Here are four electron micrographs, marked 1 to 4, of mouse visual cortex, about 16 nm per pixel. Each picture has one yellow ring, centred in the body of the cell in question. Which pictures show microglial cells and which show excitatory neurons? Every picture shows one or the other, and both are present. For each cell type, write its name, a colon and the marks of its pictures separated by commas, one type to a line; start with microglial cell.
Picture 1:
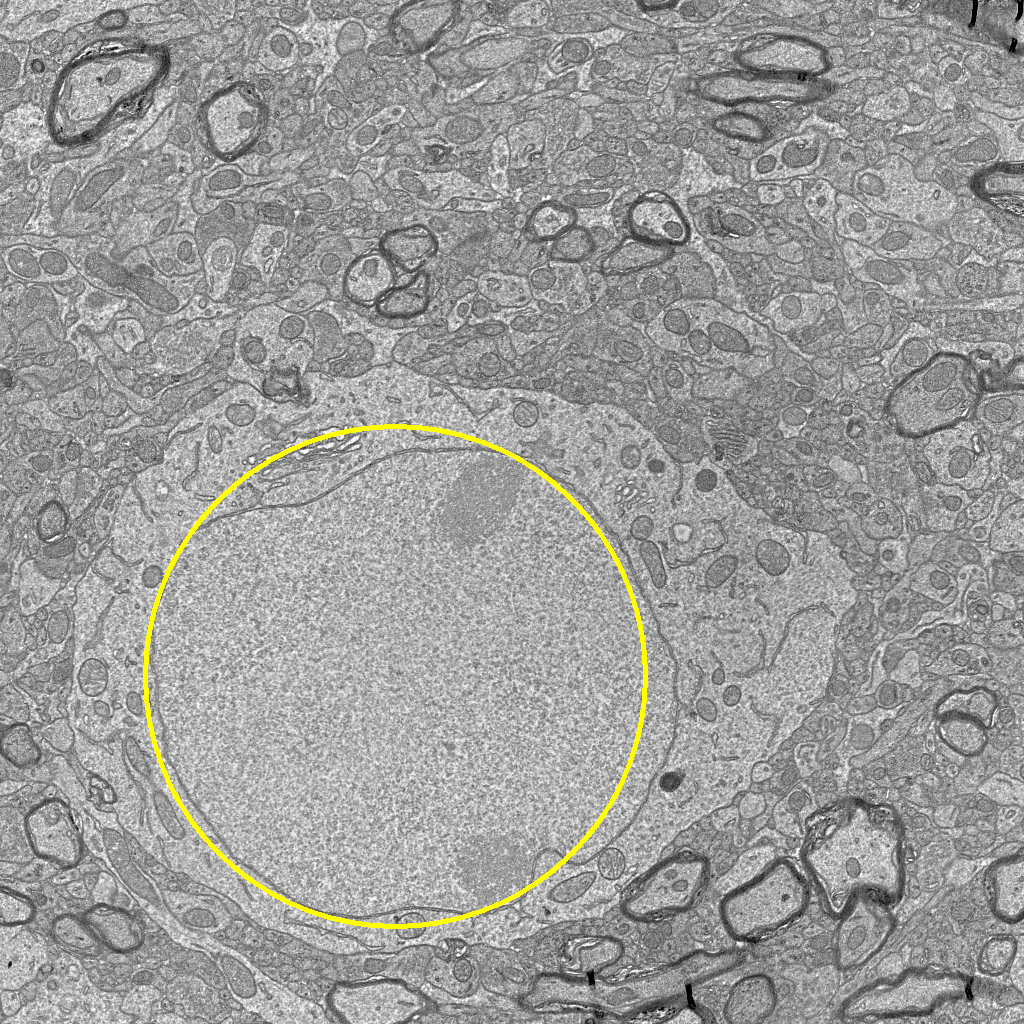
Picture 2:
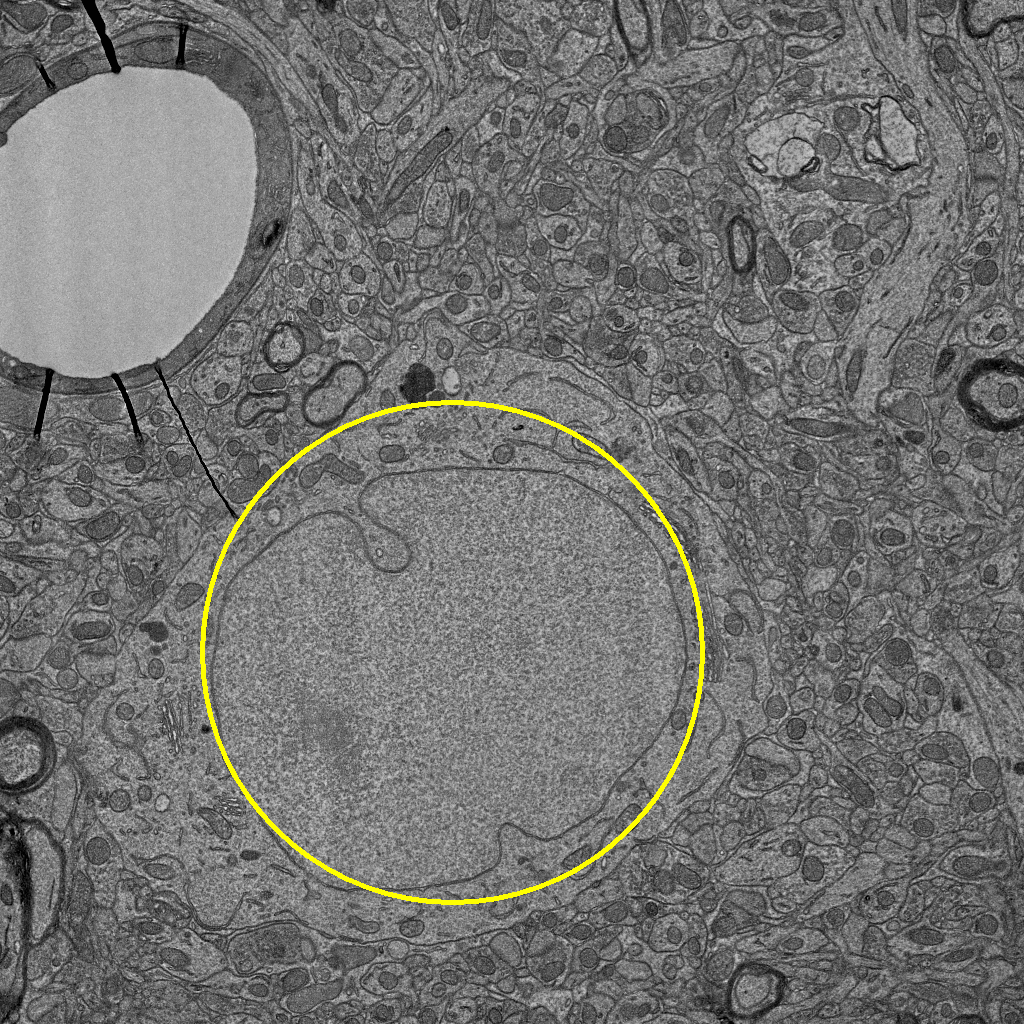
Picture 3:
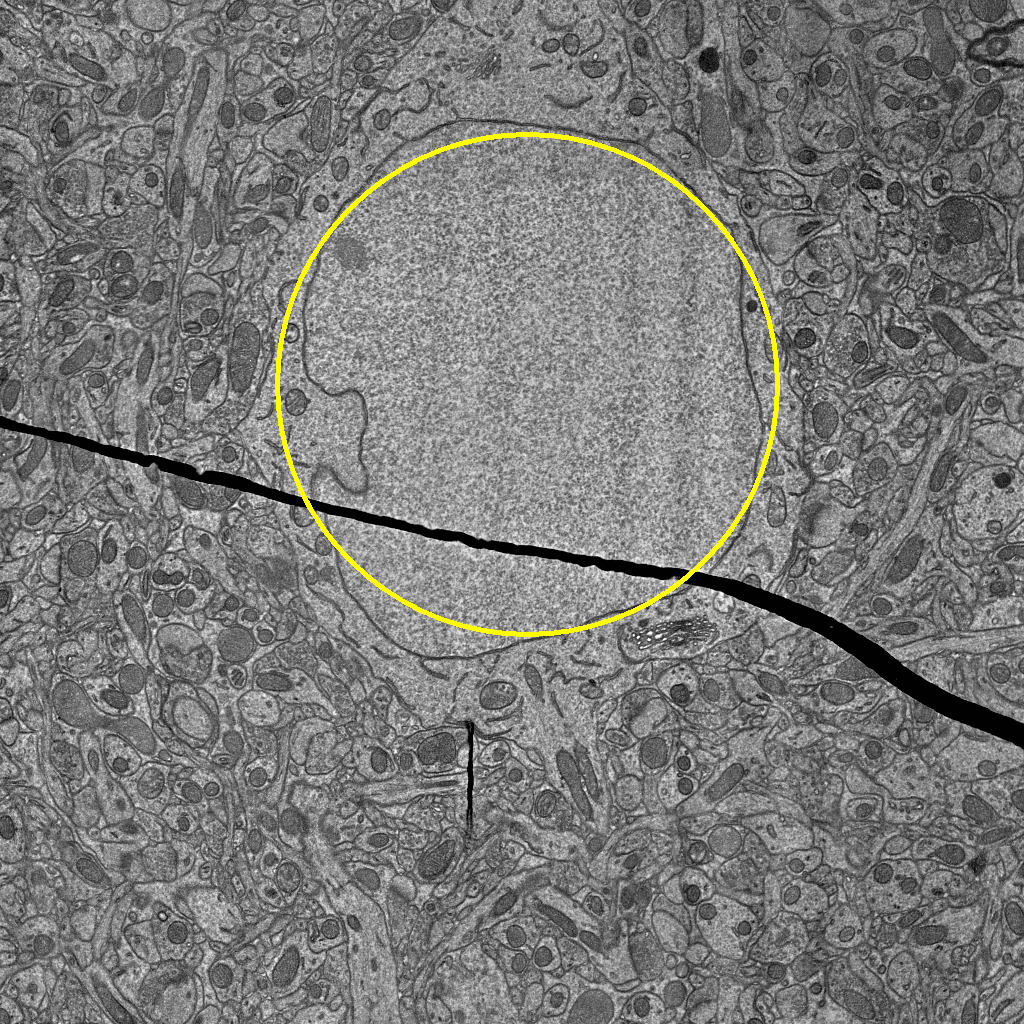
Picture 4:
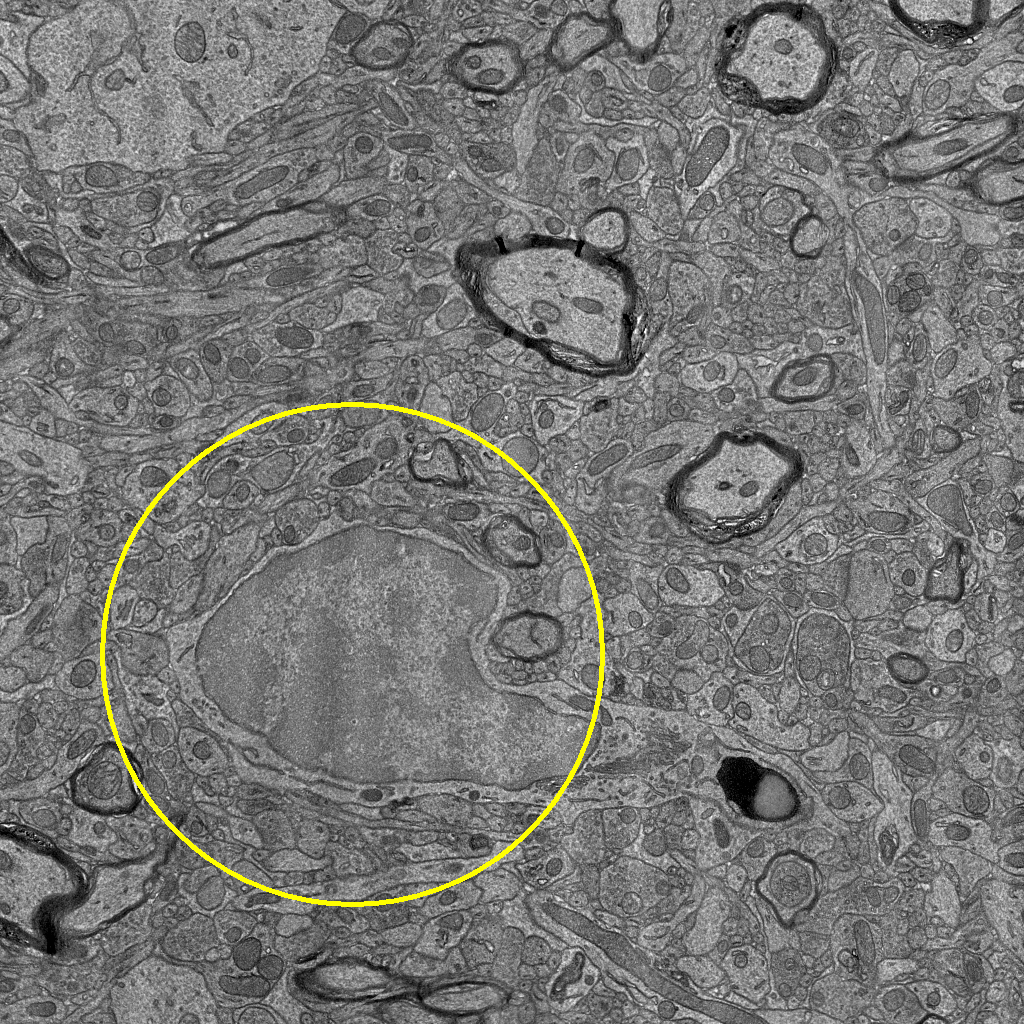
microglial cell: 4
excitatory neuron: 1, 2, 3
